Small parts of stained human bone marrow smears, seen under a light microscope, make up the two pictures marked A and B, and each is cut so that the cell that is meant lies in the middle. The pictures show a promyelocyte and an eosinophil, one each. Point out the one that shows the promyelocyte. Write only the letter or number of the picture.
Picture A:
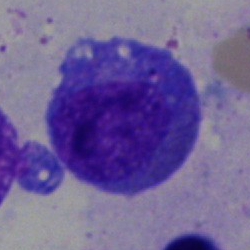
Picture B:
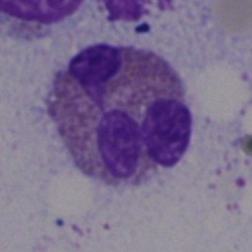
A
